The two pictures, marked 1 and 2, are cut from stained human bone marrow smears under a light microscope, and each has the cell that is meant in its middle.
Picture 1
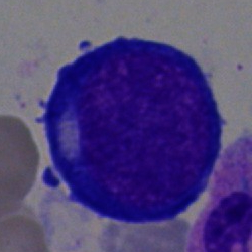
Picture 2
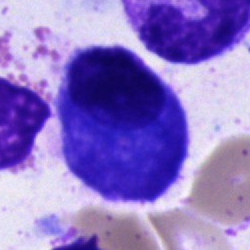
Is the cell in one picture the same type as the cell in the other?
no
